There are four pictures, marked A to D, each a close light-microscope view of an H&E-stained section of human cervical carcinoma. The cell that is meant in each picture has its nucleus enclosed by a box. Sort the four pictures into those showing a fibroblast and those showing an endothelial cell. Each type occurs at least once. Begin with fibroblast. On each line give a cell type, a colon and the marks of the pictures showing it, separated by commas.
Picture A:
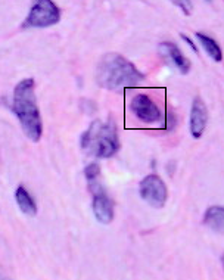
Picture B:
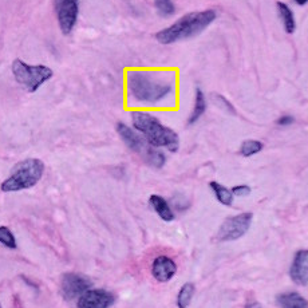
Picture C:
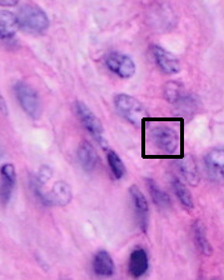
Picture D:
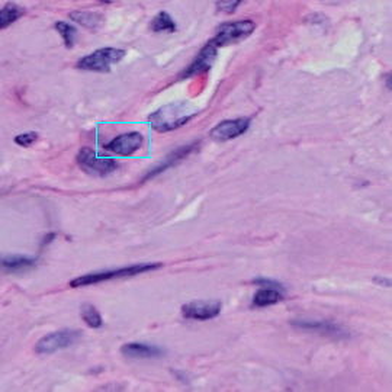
fibroblast: B
endothelial cell: A, C, D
